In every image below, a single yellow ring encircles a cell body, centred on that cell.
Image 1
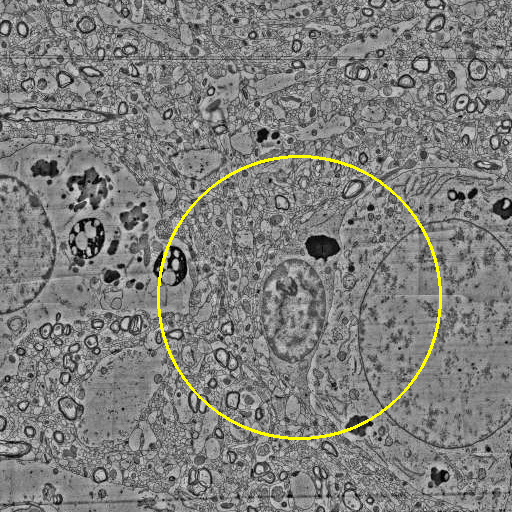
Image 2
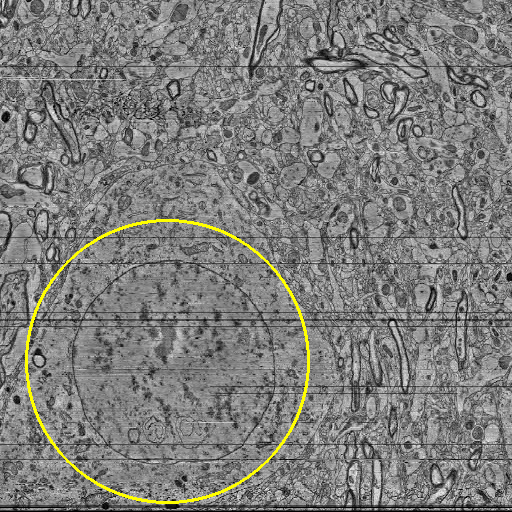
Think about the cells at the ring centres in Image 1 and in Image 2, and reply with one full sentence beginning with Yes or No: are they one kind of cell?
No, the cells centred in the rings of Image 1 and Image 2 are two kinds of cell.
